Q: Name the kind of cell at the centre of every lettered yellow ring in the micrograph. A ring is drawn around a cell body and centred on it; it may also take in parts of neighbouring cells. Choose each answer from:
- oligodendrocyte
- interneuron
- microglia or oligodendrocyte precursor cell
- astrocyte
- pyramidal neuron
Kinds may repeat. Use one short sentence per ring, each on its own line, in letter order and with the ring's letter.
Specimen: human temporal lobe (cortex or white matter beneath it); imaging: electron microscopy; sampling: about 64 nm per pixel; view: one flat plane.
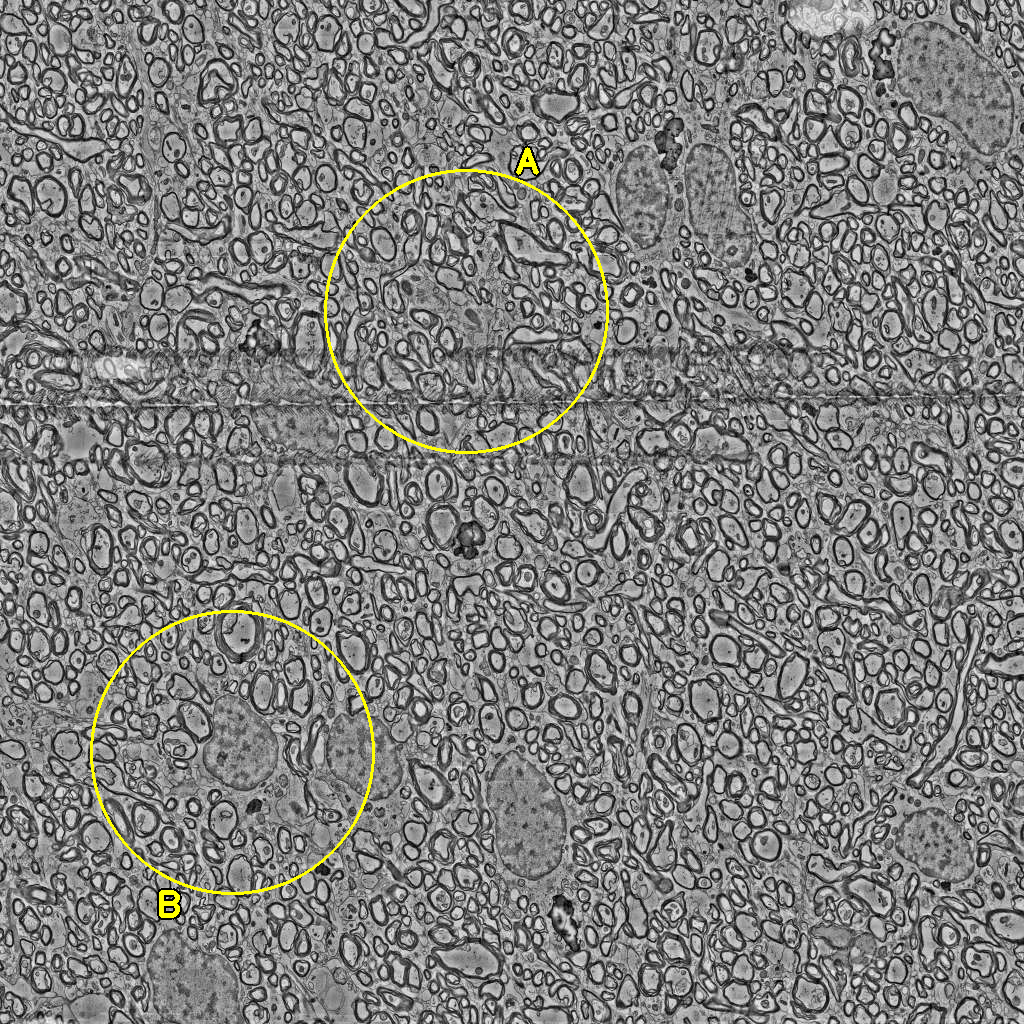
Ring A is placed around a microglial cell or oligodendrocyte precursor cell.
Ring B is placed around an oligodendrocyte.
